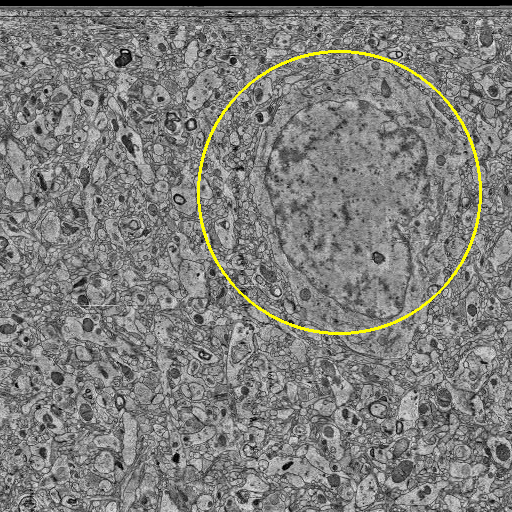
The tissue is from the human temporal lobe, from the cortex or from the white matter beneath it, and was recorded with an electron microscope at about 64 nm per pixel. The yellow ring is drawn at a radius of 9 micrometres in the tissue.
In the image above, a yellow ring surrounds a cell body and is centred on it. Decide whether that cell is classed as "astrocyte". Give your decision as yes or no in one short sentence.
No, it belongs to another kind of cell.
